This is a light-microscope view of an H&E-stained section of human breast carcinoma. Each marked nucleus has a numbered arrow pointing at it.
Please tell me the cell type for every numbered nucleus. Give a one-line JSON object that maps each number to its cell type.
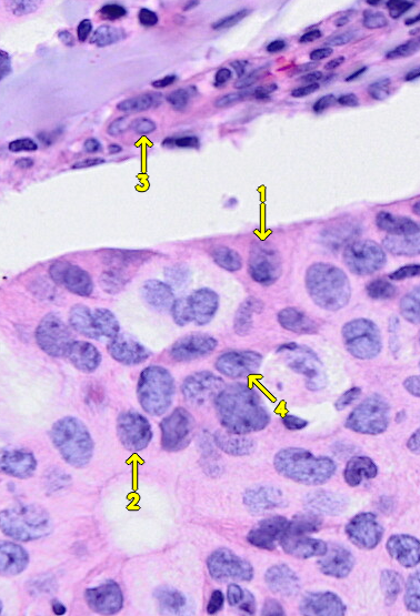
{"1": "carcinoma cell", "2": "carcinoma cell", "3": "endothelial cell", "4": "carcinoma cell"}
